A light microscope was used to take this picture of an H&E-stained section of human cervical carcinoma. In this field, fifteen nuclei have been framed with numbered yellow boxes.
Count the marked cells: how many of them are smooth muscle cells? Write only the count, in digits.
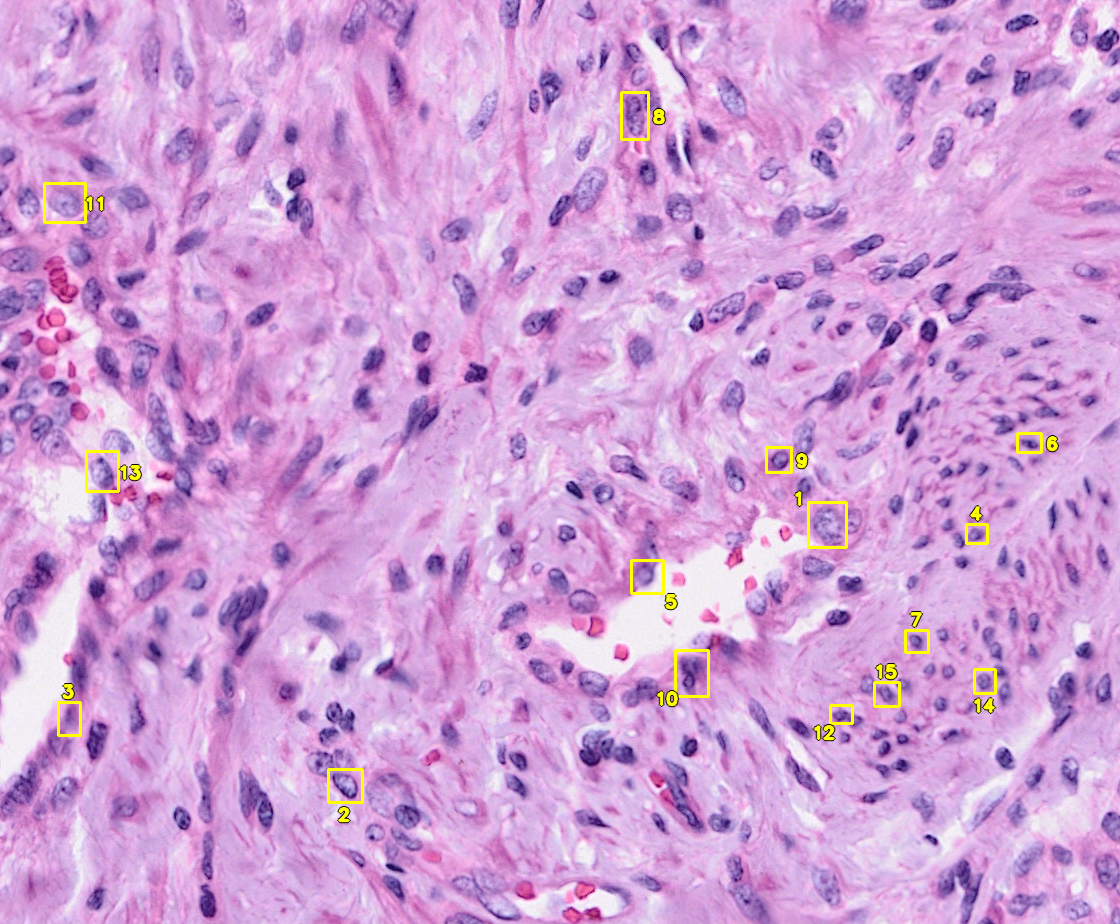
7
